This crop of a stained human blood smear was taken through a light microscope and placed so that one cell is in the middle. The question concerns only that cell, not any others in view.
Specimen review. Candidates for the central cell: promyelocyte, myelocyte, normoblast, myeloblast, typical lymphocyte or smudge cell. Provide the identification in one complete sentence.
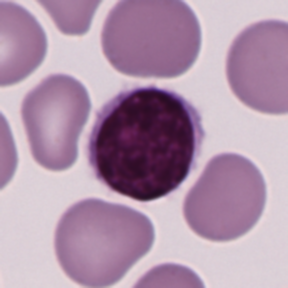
The cell sitting right in the middle is a typical lymphocyte.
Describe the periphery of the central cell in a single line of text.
The boundary of the cell runs irregularly, ragged in parts or drawn into projections.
